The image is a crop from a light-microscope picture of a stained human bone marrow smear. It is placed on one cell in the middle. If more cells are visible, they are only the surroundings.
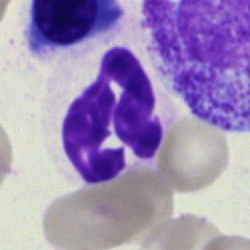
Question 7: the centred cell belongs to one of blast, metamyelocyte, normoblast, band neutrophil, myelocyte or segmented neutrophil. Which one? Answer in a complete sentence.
The centrally located cell in the crop is a segmented neutrophil.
